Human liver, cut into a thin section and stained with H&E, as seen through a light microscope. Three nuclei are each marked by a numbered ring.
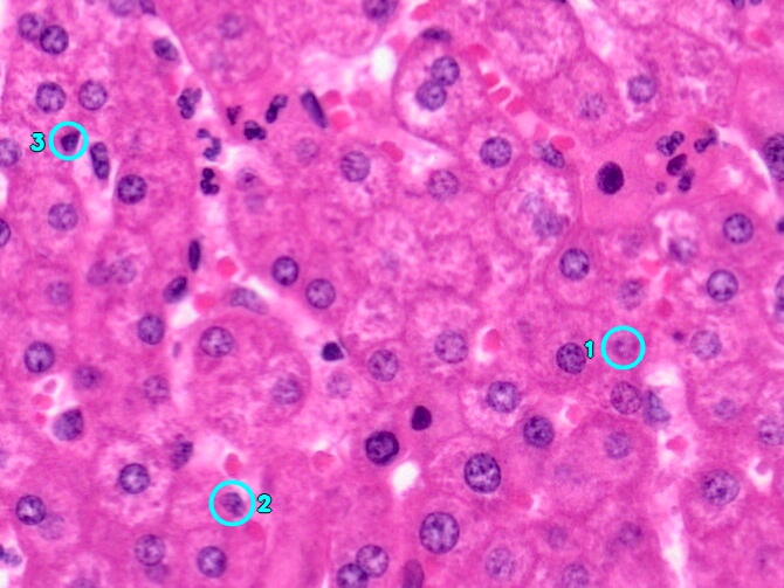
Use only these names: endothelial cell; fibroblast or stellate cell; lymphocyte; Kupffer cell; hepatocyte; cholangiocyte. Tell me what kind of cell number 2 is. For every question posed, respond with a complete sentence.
The marked nucleus 2 is that of an endothelial cell.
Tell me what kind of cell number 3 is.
Among the marked cells, number 3 is a fibroblast or stellate cell.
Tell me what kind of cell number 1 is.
Number 1 is placed on a hepatocyte here.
